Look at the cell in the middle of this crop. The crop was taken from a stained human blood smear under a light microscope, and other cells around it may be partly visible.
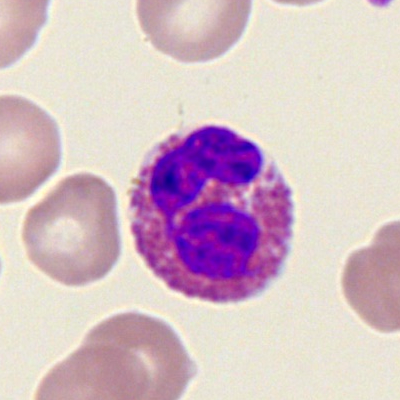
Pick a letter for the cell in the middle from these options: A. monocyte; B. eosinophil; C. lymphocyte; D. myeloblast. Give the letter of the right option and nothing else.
B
